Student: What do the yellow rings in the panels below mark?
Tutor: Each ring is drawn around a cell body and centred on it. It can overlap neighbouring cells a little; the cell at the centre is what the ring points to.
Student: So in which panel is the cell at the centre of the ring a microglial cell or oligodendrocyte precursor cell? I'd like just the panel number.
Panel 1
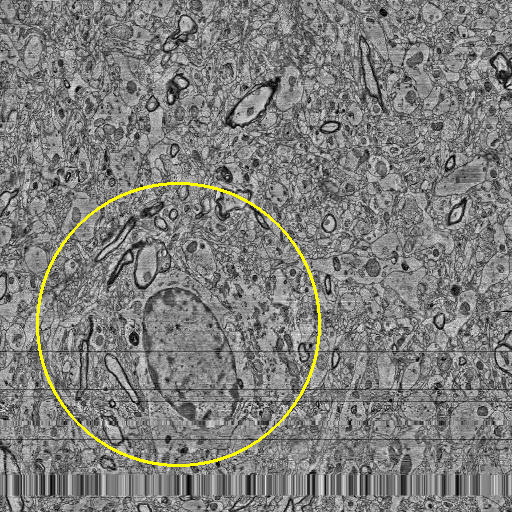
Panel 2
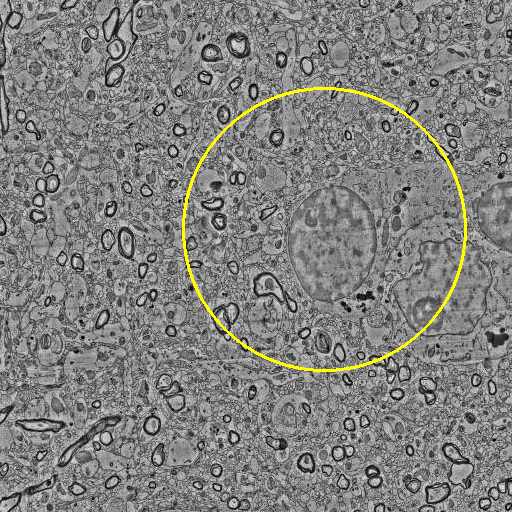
1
